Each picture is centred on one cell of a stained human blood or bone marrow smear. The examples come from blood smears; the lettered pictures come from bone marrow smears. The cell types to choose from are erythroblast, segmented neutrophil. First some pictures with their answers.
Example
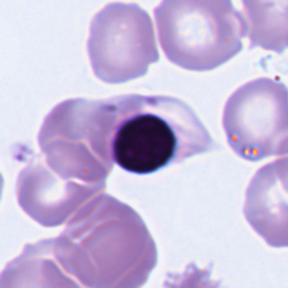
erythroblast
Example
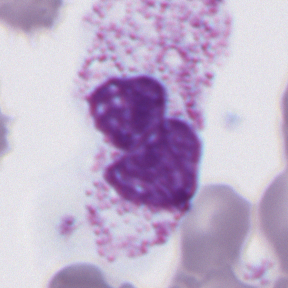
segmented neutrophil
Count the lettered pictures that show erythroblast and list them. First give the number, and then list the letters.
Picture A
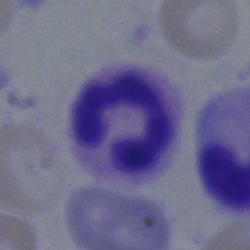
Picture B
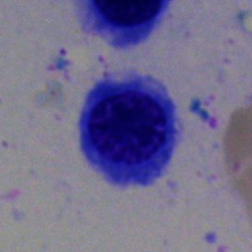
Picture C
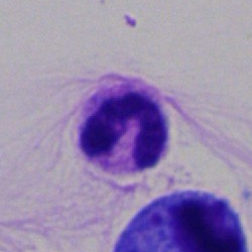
Count: 1 (B)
